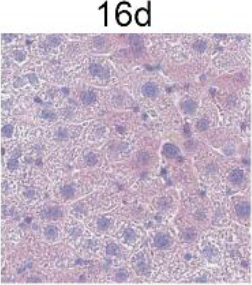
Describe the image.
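This is liver tissue with large polygonal cells arranged in a solid, fairly even sheet. The cytoplasm is stained a light pink-red, patchily and more weakly in some areas than others. Pale narrow spaces between the cells mark the sinusoids, along which a few small, dark, flattened nuclei lie.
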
